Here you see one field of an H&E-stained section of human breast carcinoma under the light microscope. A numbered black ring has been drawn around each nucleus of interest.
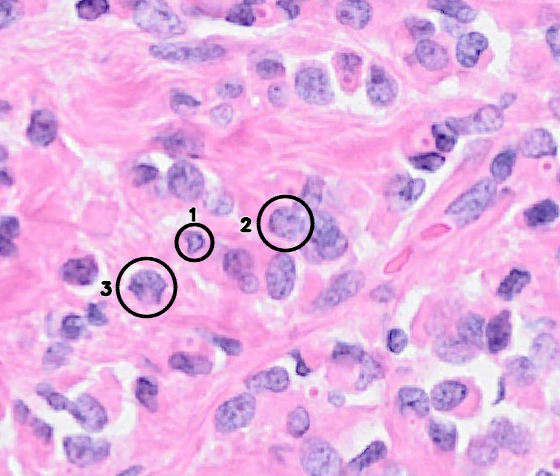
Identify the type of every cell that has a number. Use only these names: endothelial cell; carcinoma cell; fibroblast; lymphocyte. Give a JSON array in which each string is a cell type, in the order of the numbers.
["endothelial cell", "carcinoma cell", "carcinoma cell"]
